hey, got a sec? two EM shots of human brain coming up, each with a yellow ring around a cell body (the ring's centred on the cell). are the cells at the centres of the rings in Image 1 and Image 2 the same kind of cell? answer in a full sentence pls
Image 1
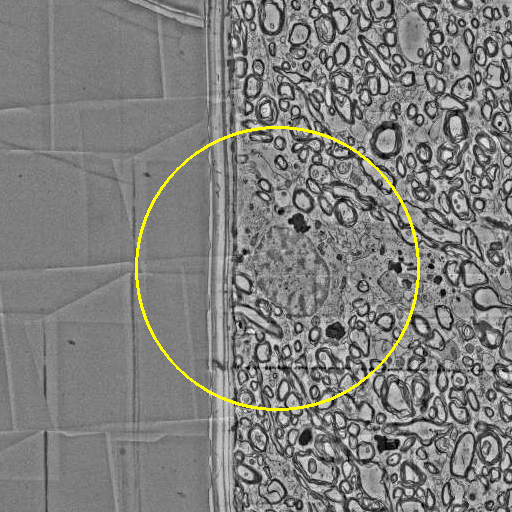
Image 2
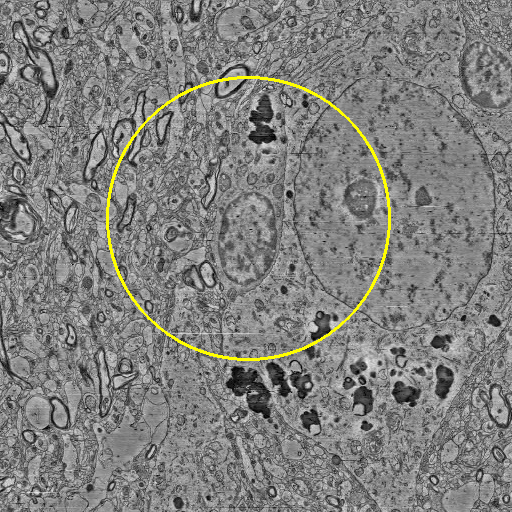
Yes, both are the same kind of cell.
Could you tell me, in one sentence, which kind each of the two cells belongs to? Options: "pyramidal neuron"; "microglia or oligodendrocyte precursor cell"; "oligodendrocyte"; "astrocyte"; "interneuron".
The ring centre holds an oligodendrocyte in each of the two pictures.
